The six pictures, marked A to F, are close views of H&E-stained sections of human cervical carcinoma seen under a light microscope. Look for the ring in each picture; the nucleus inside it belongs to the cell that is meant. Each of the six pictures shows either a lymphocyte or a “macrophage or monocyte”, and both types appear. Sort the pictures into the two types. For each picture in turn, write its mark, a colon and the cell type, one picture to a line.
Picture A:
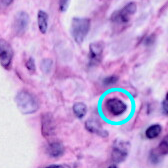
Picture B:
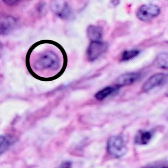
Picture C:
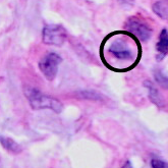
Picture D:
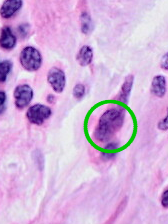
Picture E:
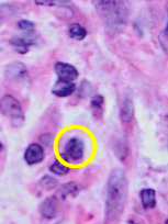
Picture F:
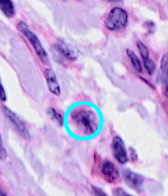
A: lymphocyte
B: macrophage or monocyte
C: lymphocyte
D: macrophage or monocyte
E: lymphocyte
F: macrophage or monocyte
